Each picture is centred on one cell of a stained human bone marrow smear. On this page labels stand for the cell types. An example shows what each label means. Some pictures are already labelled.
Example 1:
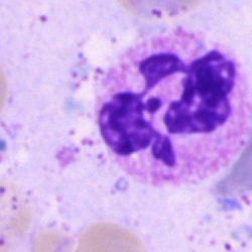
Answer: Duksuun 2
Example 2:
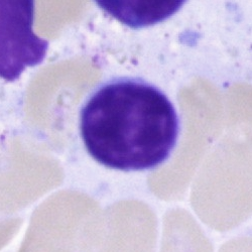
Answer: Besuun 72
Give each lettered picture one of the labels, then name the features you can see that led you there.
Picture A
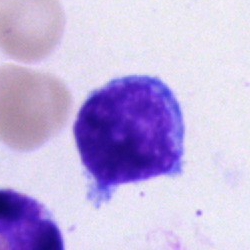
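Besuun 72. Reason: The cytoplasm is scant, forming only a thin rim around a nucleus that fills most of the cell.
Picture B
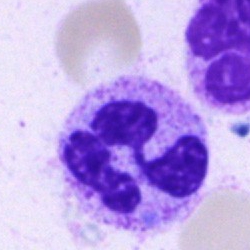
Duksuun 2. Reason: The cytoplasm is plentiful and pale pinkish-lilac.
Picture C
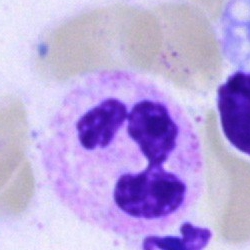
Duksuun 2. Reason: The cytoplasm is abundant and pale pink.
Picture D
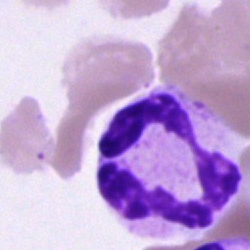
Duksuun 2. Reason: The nucleus is a curved band that loops around the centre of the cell like a ring.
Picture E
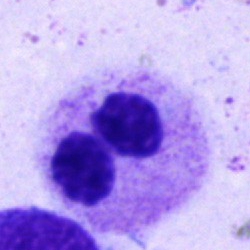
Duksuun 2. Reason: The cytoplasm is abundant and pale pinkish-lilac.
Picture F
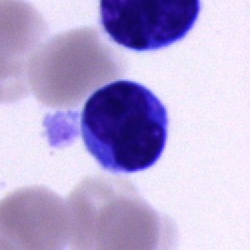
Besuun 72. Reason: The cytoplasm is a scant rim around the nucleus.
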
